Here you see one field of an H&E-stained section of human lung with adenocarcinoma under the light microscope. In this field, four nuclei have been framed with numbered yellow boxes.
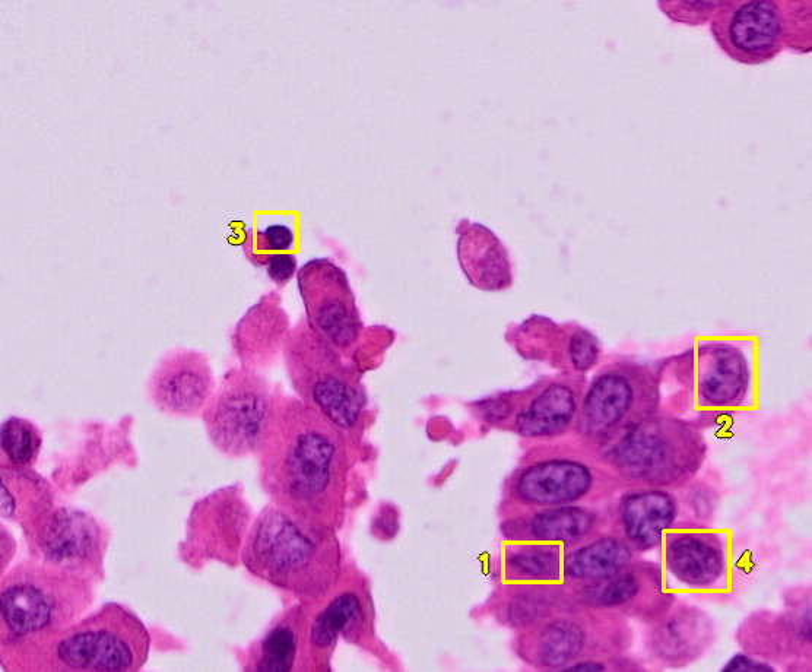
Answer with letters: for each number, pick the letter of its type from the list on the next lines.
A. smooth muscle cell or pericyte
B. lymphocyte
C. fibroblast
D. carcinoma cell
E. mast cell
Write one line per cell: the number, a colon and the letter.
1: D
2: D
3: B
4: D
